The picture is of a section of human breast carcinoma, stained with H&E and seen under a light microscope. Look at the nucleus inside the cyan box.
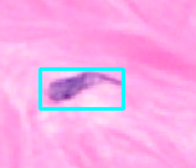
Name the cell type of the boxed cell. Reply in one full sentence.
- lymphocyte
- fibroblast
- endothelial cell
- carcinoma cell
Placed in its cell category, the boxed cell is a fibroblast.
